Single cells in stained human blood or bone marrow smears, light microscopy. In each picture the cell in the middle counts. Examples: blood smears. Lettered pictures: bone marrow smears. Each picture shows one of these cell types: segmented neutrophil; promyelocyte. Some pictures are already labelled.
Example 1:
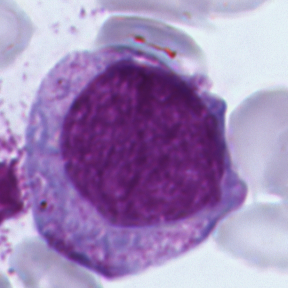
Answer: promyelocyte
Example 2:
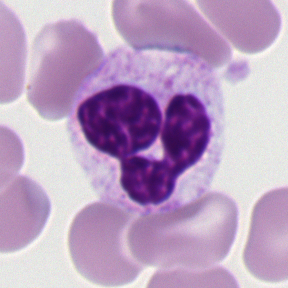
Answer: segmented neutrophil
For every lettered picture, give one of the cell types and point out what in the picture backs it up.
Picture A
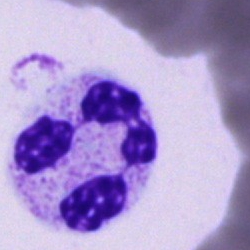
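segmented neutrophil. Reason: The chromatin is dark purple and coarsely clumped.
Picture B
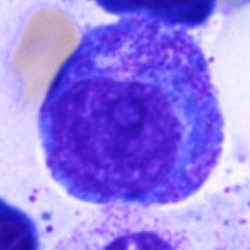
promyelocyte. Reason: The chromatin is finely granular rather than clumped.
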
